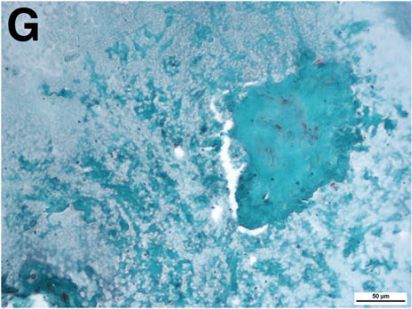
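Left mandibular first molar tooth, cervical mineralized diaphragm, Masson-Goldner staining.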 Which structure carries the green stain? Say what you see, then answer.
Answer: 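Collagen fibers. Fibrous and patchy material stains green. A denser green area lies beside looser green fibrillar matter.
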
